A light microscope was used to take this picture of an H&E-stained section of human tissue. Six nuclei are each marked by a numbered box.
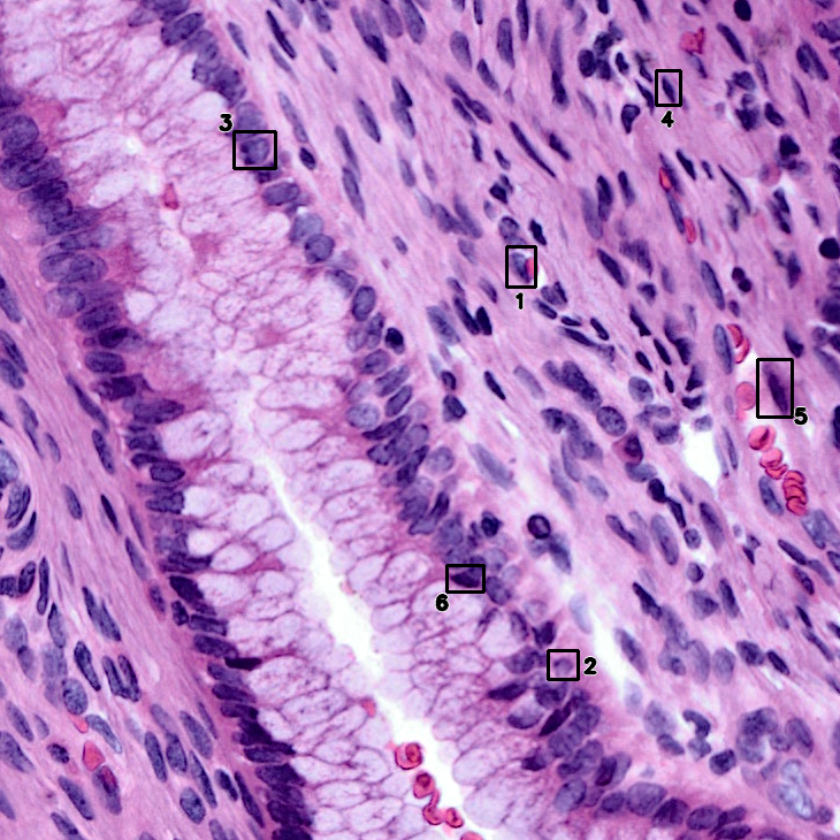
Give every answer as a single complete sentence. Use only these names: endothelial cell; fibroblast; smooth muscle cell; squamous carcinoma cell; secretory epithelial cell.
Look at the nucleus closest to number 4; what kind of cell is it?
It is a fibroblast whose nucleus is nearest to number 4.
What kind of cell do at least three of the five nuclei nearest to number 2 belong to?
Most of the five nuclei nearest to number 2 are those of secretory epithelial cells.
